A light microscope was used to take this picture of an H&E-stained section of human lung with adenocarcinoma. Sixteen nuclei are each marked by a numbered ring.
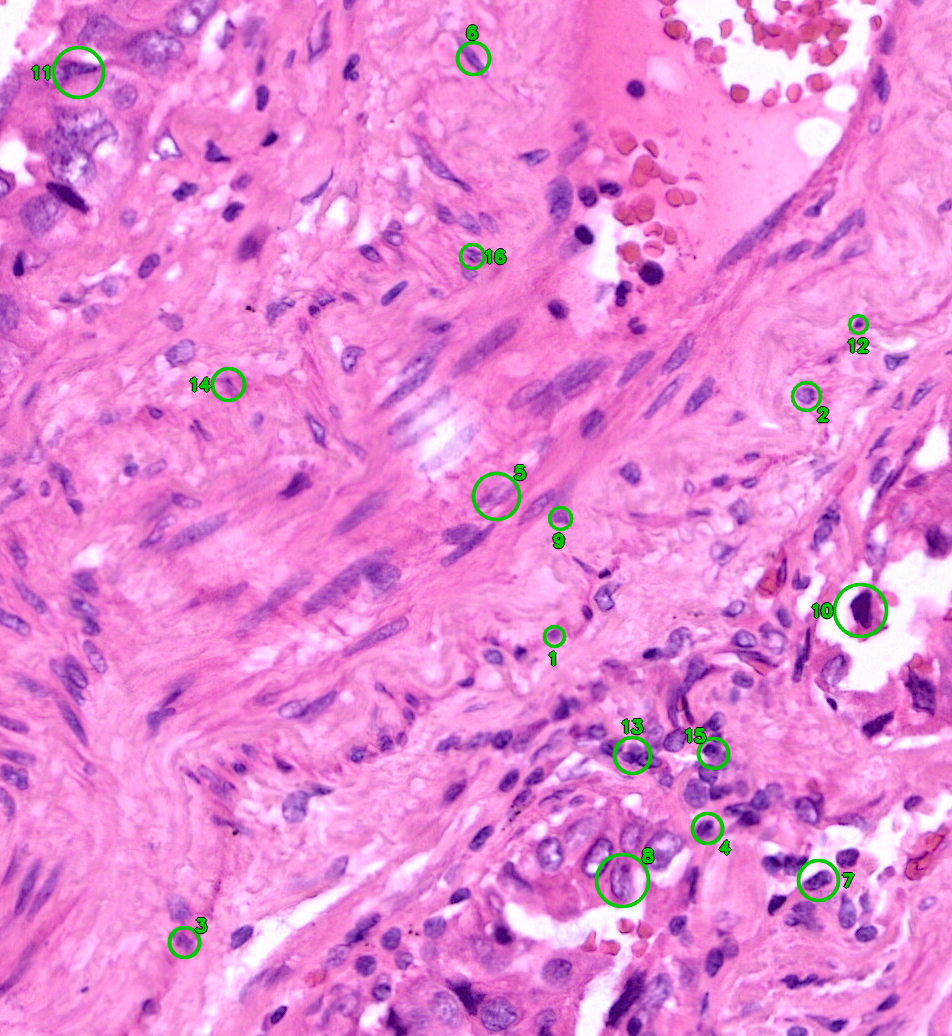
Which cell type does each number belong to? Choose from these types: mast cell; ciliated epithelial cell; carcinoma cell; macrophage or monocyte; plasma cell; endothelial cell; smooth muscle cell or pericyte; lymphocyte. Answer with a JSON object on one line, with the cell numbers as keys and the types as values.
{"1": "smooth muscle cell or pericyte", "2": "smooth muscle cell or pericyte", "3": "smooth muscle cell or pericyte", "4": "lymphocyte", "5": "smooth muscle cell or pericyte", "6": "smooth muscle cell or pericyte", "7": "lymphocyte", "8": "carcinoma cell", "9": "smooth muscle cell or pericyte", "10": "carcinoma cell", "11": "carcinoma cell", "12": "smooth muscle cell or pericyte", "13": "lymphocyte", "14": "smooth muscle cell or pericyte", "15": "lymphocyte", "16": "smooth muscle cell or pericyte"}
